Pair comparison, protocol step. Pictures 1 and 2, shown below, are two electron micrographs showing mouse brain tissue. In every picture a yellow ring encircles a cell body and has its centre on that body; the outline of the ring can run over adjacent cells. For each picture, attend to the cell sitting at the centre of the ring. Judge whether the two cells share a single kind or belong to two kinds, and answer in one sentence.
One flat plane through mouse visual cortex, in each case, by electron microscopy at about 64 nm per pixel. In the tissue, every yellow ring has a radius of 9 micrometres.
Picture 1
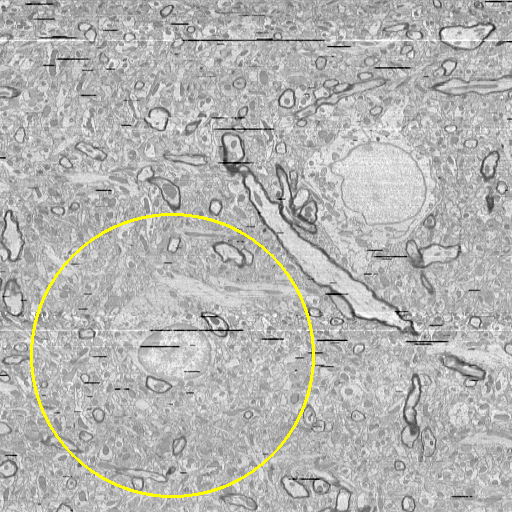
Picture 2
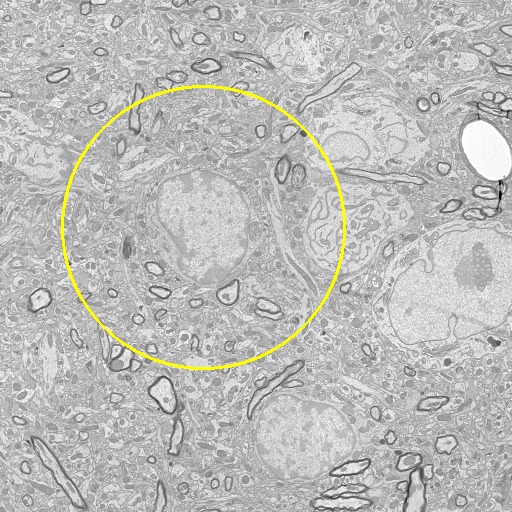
The two cells at the ring centres in Picture 1 and Picture 2 share a single kind.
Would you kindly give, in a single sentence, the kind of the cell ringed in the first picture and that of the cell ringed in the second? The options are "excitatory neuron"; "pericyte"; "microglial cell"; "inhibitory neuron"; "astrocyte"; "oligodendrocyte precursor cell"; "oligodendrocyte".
In both pictures the ring is centred on an oligodendrocyte.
